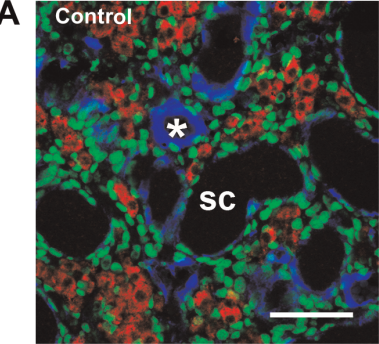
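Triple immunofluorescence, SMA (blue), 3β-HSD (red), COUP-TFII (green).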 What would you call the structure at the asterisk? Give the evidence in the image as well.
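Blood vessels. The asterisk sits on a small rounded structure in the space between the cords. The structure is outlined by a blue-stained wall.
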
